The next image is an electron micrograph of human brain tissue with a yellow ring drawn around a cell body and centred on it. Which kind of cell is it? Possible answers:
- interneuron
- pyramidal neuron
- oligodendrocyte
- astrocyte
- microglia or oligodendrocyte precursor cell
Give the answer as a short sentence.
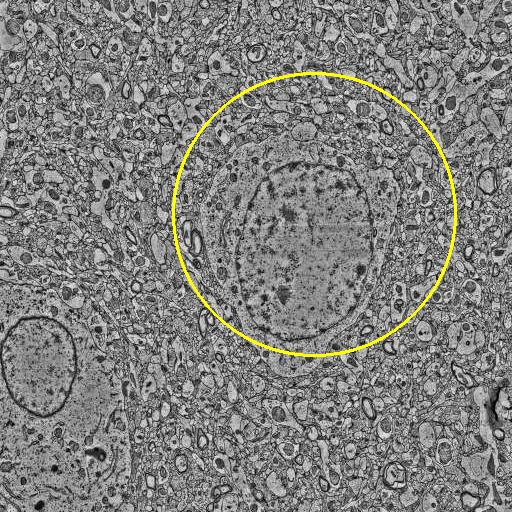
In the ring's centre is an interneuron.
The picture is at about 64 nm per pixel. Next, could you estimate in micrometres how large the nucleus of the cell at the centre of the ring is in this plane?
The nucleus comes to roughly 12 by 9 micrometres in this plane.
